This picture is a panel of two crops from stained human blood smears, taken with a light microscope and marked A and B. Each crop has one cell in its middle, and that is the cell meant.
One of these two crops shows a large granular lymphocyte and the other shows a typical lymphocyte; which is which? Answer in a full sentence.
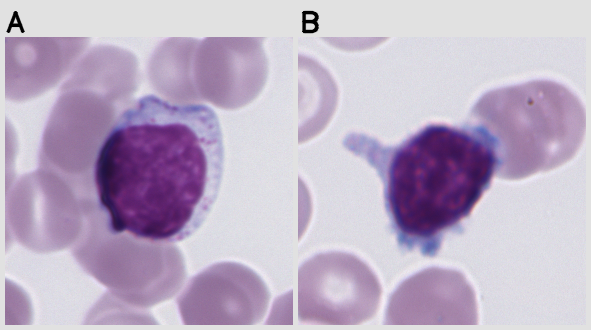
Crop B shows a typical lymphocyte, and crop A shows a large granular lymphocyte.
